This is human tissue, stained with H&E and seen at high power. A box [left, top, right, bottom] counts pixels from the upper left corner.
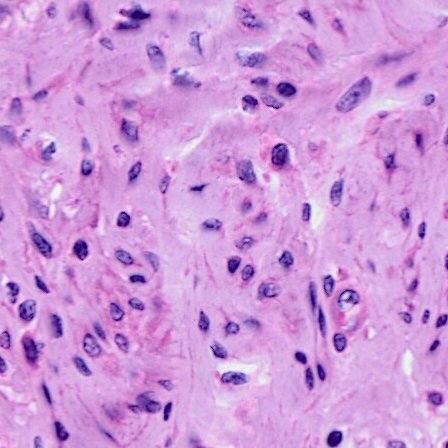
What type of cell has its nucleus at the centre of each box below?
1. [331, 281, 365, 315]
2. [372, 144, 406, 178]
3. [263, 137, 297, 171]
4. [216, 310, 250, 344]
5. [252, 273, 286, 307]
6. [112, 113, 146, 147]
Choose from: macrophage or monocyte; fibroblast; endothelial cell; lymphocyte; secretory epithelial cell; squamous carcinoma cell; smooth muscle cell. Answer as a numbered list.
1. endothelial cell
2. smooth muscle cell
3. lymphocyte
4. smooth muscle cell
5. smooth muscle cell
6. smooth muscle cell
